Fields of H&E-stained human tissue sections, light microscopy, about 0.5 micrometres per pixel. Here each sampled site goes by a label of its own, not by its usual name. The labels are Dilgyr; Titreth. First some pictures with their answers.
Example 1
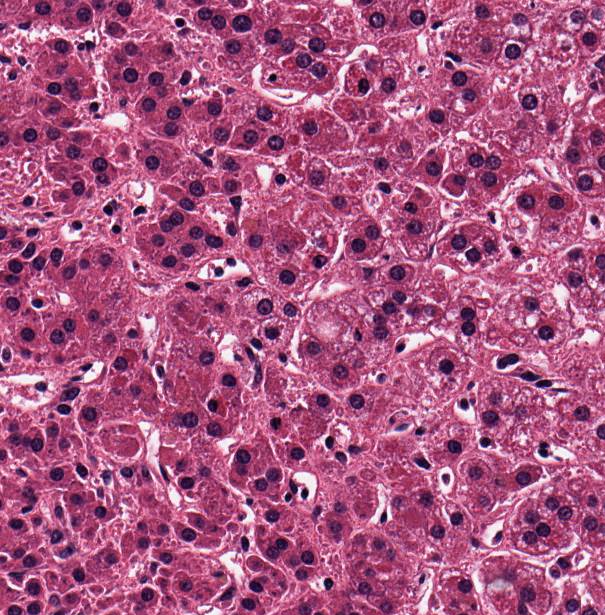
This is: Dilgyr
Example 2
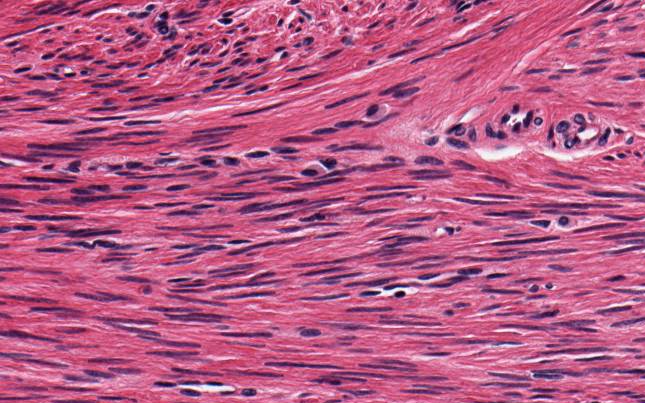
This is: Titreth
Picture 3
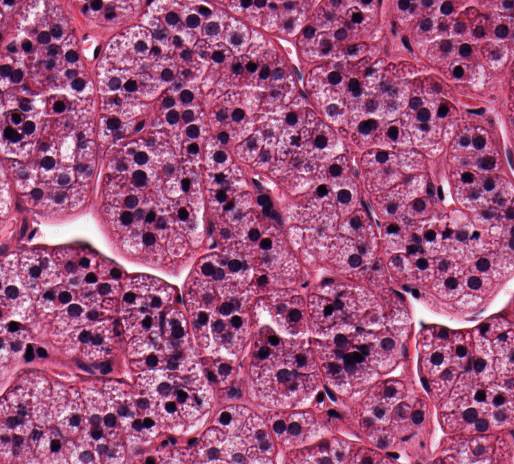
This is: Dilgyr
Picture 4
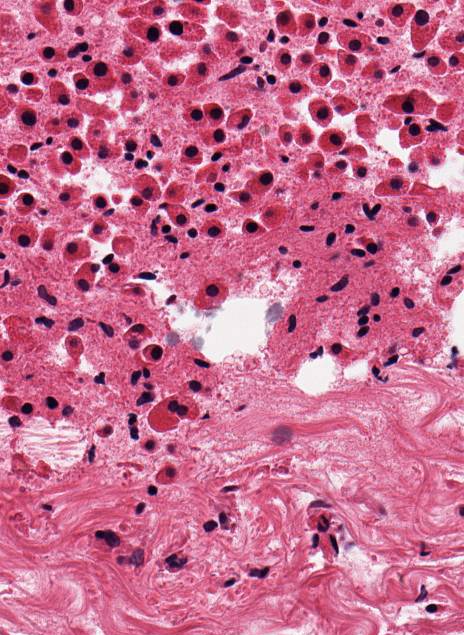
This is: Dilgyr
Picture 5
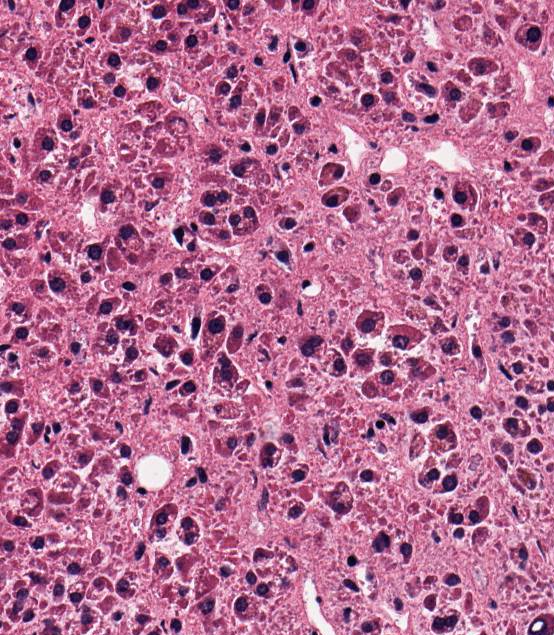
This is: Dilgyr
